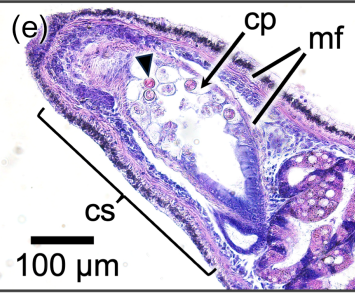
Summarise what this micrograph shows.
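This section shows the tip of a ceras, with a cnidosac occupying its distal end. The outer wall is a purple-stained epithelium whose outer surface carries a thin, dark, densely pigmented layer. Inside lies a largely clear cavity holding rounded cells with pale vacuolated contents, several of which enclose small, round, pink-red nematocysts. Elongated bands of muscle fibers stained purple run along the wall of the sac. Toward the base of the ceras, the sac gives way to denser tissue with rounded, densely stained purple cells.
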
